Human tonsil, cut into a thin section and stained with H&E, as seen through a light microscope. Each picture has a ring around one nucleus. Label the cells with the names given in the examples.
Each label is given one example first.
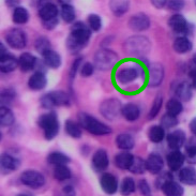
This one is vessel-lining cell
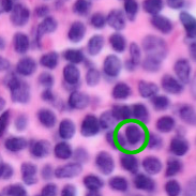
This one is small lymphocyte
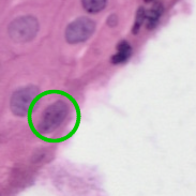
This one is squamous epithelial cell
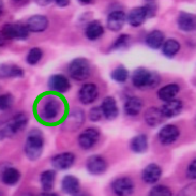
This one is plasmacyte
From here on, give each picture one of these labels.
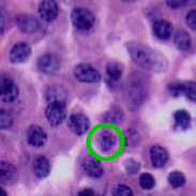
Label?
plasmacyte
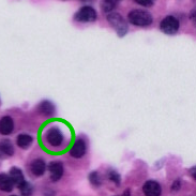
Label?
plasmacyte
